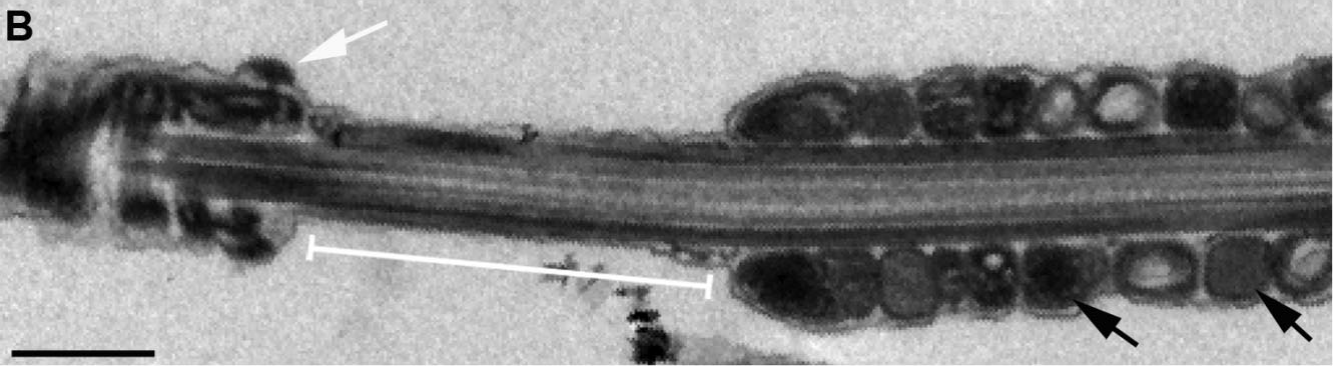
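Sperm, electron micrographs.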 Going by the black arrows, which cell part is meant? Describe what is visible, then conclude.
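The arrows point to rounded profiles in a row along both sides of the axoneme. Many of these profiles are uniformly dark. On this evidence: mitochondria.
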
